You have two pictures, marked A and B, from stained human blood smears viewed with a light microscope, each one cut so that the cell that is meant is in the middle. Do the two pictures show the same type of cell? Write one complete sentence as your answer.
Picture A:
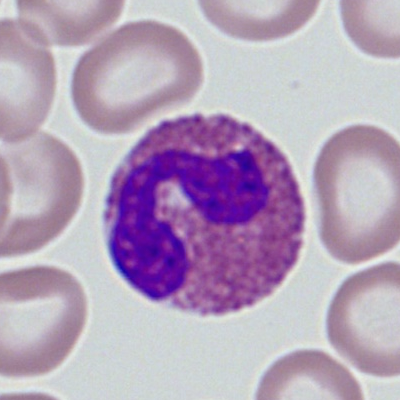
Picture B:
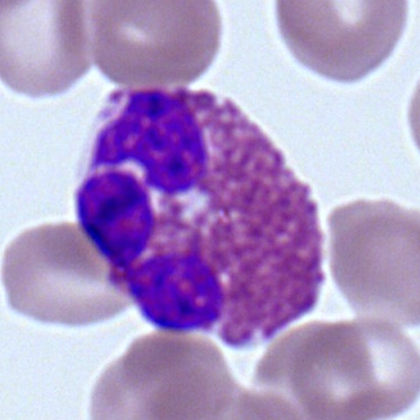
Yes, they are the same type: both are eosinophils.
